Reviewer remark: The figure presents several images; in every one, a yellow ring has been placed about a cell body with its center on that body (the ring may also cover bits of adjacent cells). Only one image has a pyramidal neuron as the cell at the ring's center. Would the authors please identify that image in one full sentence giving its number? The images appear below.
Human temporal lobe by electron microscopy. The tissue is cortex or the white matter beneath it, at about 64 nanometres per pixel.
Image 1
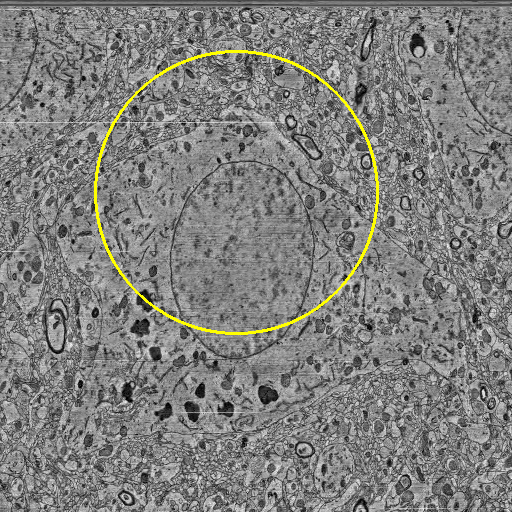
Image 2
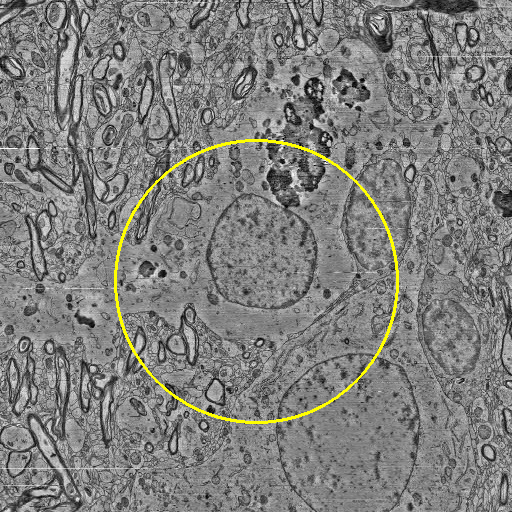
The ring's central cell in image 1 is the one the question describes.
